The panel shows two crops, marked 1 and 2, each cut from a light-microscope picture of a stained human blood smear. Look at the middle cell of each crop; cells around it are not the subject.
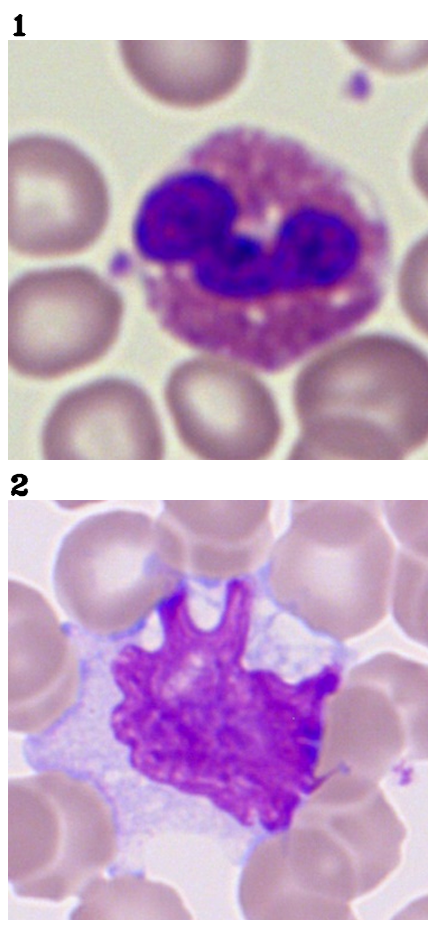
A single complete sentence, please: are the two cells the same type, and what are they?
No, an eosinophil lies at the centre of crop 1, and a monocyte lies at the centre of crop 2.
